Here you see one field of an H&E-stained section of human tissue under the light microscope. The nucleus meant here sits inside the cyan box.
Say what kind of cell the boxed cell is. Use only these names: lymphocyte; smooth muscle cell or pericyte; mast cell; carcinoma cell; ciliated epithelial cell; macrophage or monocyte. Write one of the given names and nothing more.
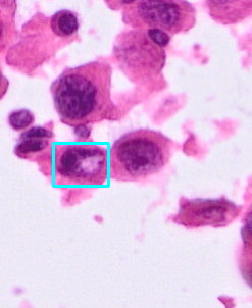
carcinoma cell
